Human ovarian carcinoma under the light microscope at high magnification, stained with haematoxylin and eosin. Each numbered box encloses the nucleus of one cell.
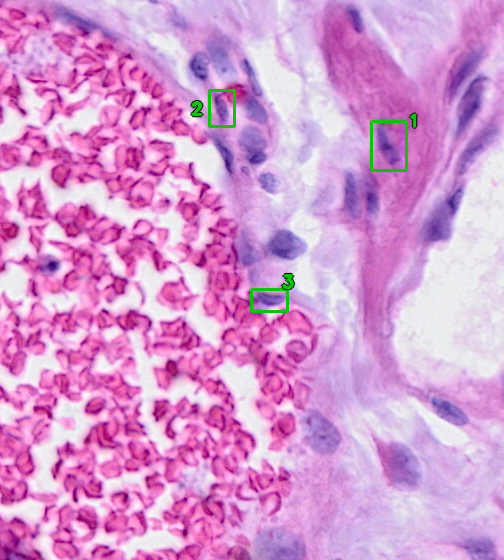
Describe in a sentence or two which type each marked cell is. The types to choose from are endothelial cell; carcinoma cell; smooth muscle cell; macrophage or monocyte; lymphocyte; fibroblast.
Cell 1 is a smooth muscle cell, cell 2 is an endothelial cell and cell 3 is an endothelial cell.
